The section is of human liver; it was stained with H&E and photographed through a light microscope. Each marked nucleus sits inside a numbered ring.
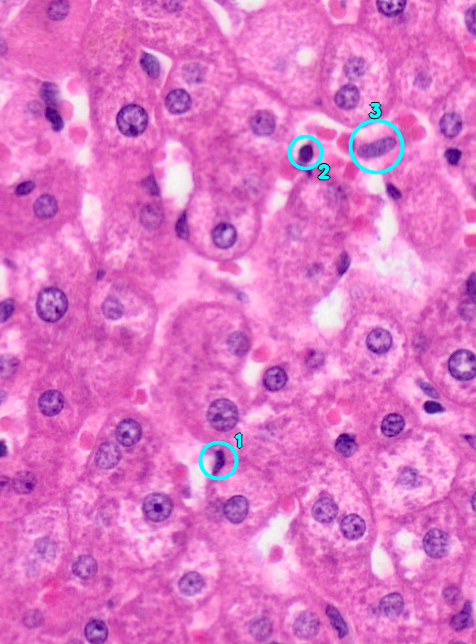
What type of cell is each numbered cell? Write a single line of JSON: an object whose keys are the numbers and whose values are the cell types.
{"1": "fibroblast or stellate cell", "2": "lymphocyte", "3": "Kupffer cell"}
